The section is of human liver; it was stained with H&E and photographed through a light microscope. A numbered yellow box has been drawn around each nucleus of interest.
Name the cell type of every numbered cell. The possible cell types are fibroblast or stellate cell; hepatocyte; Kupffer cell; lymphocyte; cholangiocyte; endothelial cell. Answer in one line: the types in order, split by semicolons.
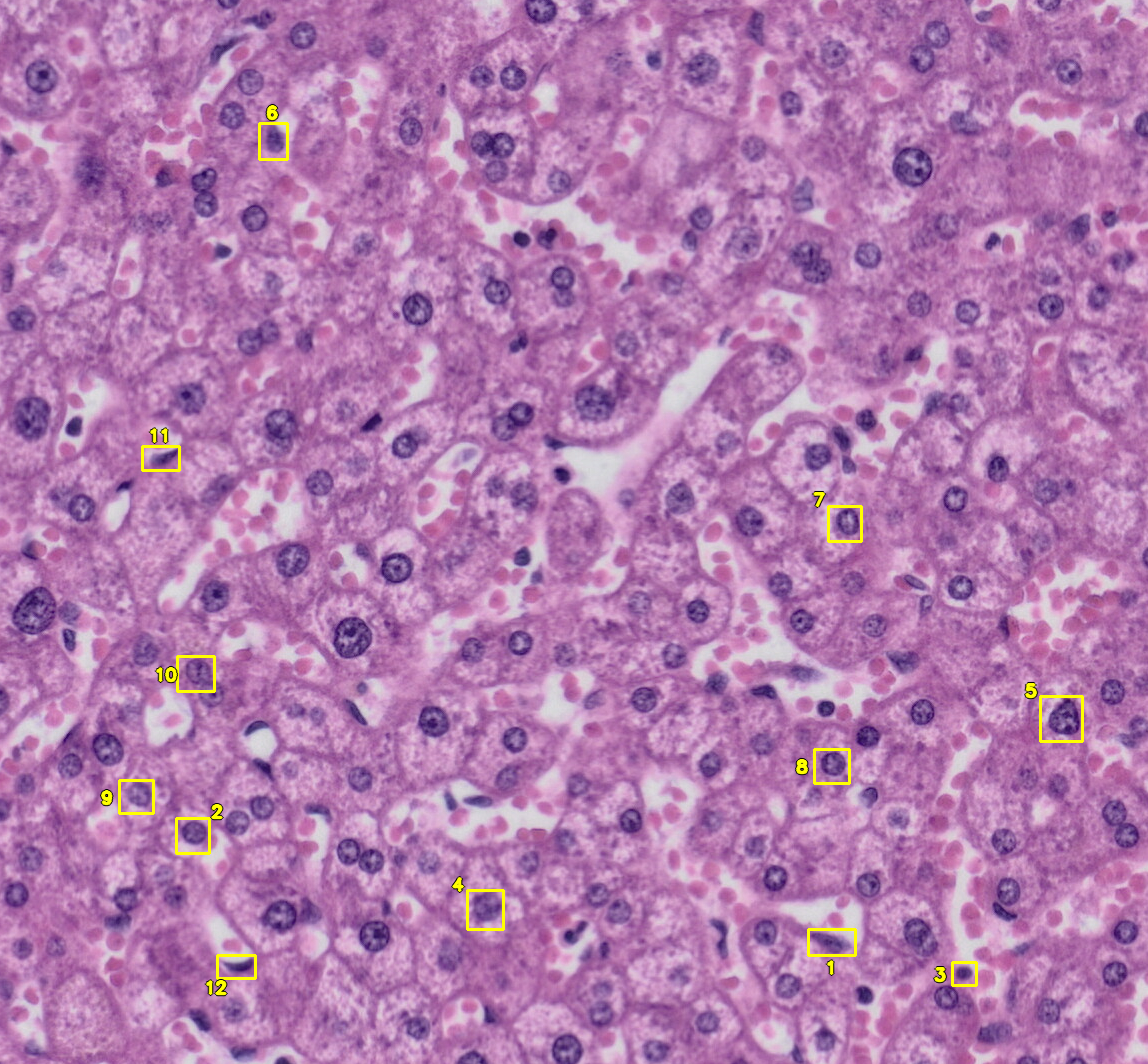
Kupffer cell; hepatocyte; lymphocyte; hepatocyte; hepatocyte; endothelial cell; hepatocyte; hepatocyte; hepatocyte; hepatocyte; endothelial cell; endothelial cell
